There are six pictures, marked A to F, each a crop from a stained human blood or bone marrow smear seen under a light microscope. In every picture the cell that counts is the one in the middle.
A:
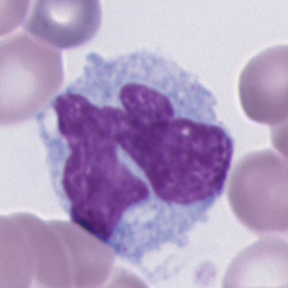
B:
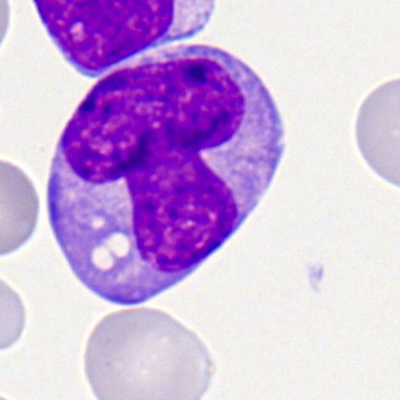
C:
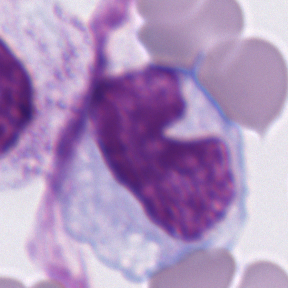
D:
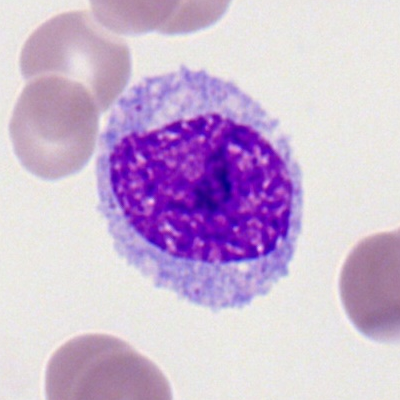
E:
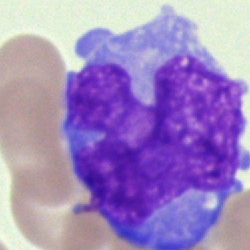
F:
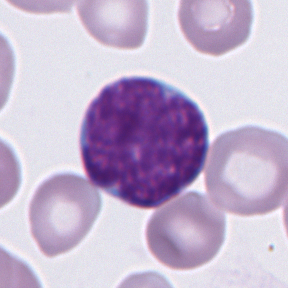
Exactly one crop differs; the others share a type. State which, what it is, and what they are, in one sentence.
Only one crop differs, namely crop F, which is a blast; the others show monocytes.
